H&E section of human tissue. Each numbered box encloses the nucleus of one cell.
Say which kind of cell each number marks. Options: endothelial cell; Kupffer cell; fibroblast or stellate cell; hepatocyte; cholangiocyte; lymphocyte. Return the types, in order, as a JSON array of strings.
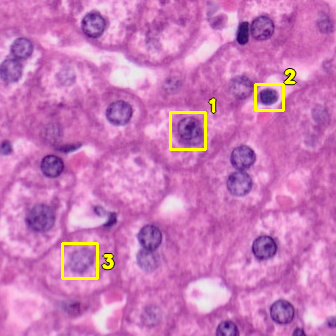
["hepatocyte", "lymphocyte", "hepatocyte"]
